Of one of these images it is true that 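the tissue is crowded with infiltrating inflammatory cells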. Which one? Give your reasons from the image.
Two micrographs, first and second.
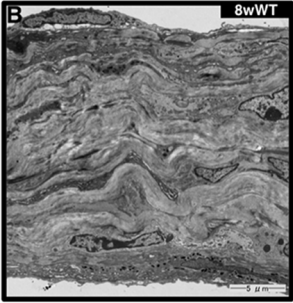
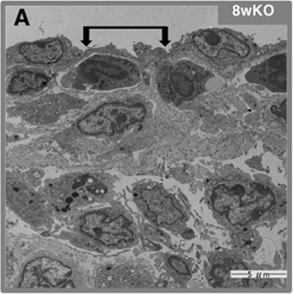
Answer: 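First image: dense wavy fibre layers with only a few flattened cells. Second image: many closely packed rounded cells with large nuclei fill the tissue. So: the second image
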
